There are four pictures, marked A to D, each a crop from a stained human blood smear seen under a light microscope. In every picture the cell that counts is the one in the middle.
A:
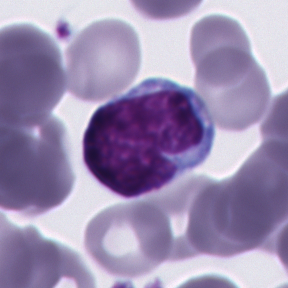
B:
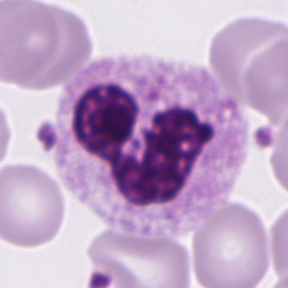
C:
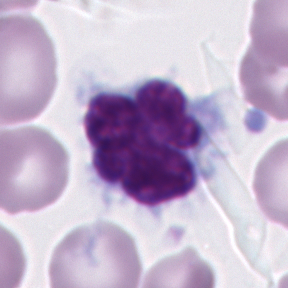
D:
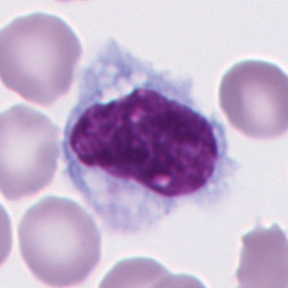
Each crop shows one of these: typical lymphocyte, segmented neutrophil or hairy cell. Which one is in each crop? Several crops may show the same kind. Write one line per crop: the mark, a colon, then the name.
A: typical lymphocyte
B: segmented neutrophil
C: hairy cell
D: hairy cell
